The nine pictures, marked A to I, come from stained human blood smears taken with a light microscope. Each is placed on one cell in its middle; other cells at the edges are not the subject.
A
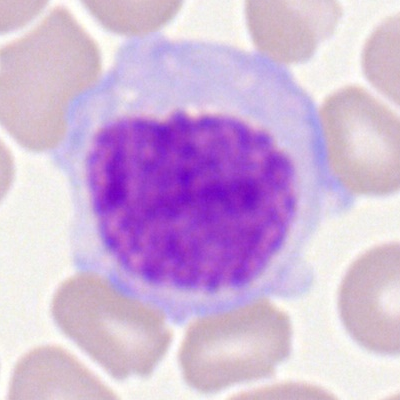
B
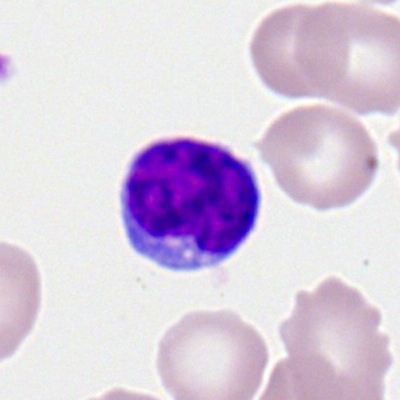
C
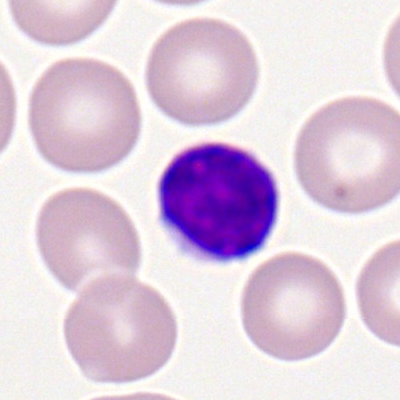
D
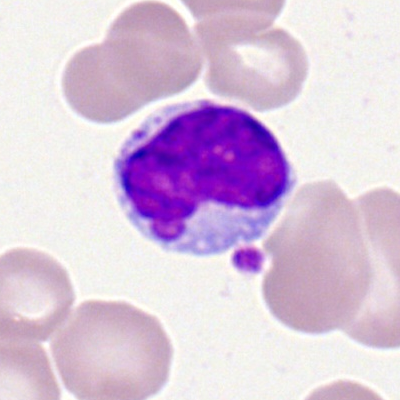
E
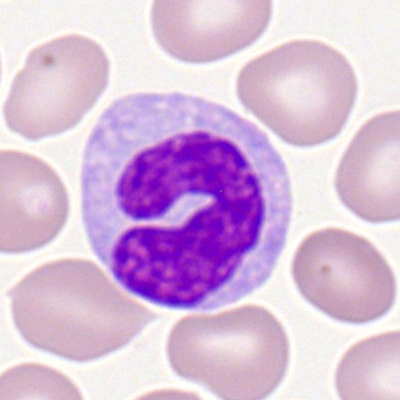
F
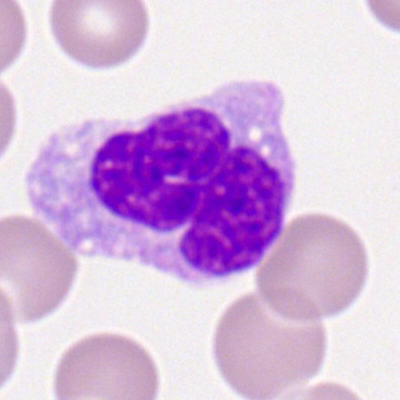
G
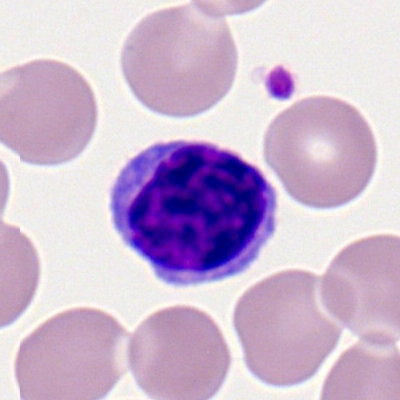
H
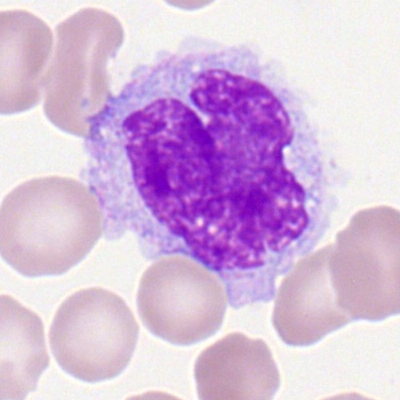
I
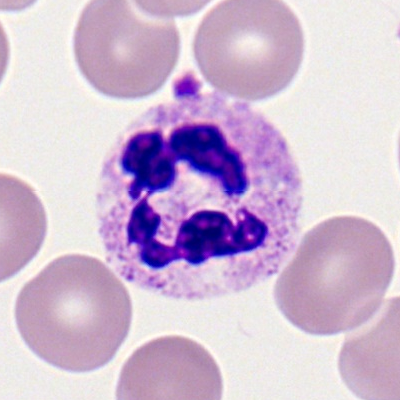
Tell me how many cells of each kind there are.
monocyte: 4
lymphocyte: 4
neutrophil: 1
